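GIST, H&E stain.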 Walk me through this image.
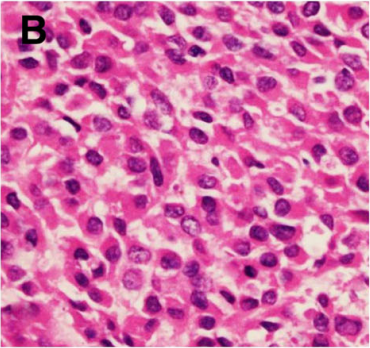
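Sheets of plump, polygonal tumor cells fill the field, each with a generous amount of bright pink cytoplasm. The oval nuclei, with fine chromatin and small nucleoli, are often pushed toward one edge of the cell rather than sitting in the middle. This eccentric nucleus with dense eosinophilic cytoplasm gives the cells a rhabdoid appearance.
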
